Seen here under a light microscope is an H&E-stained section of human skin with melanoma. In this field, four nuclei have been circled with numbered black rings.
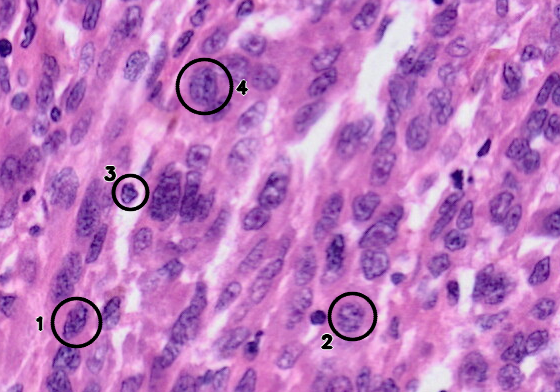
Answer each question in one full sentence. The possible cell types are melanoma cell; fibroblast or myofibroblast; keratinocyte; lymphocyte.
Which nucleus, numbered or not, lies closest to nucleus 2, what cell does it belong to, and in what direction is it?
Just to the left of nucleus 2 lies the nearest nucleus, which belongs to a lymphocyte.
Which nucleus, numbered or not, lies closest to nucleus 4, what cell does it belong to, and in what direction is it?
Just below and to the right of nucleus 4 lies the nearest nucleus, which belongs to a melanoma cell.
